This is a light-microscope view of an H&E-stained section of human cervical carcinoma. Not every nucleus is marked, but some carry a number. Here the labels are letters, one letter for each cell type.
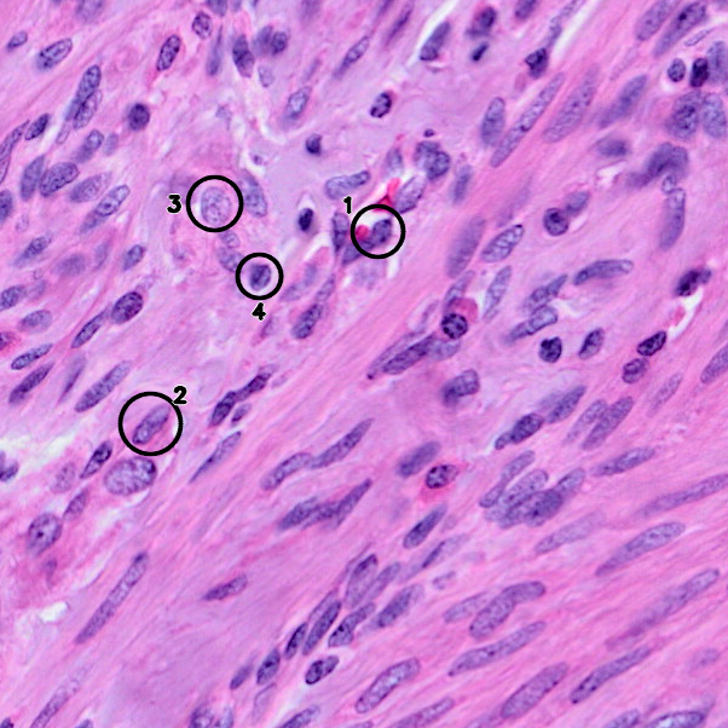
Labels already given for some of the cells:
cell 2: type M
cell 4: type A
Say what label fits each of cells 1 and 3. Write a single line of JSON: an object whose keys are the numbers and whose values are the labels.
{"1": "type M", "3": "type M"}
